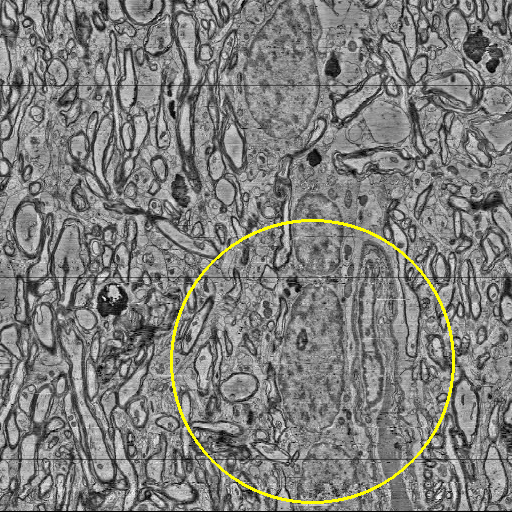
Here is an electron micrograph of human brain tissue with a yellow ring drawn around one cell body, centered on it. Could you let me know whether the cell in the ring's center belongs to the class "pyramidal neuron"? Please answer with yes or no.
no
